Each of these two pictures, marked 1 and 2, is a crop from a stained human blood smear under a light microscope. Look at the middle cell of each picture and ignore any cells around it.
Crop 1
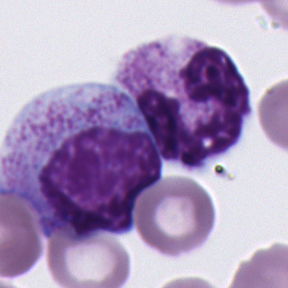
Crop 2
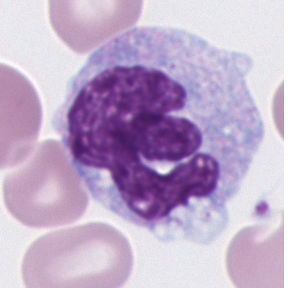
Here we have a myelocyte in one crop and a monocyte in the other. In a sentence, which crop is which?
Crop 2 shows a monocyte, and crop 1 shows a myelocyte.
